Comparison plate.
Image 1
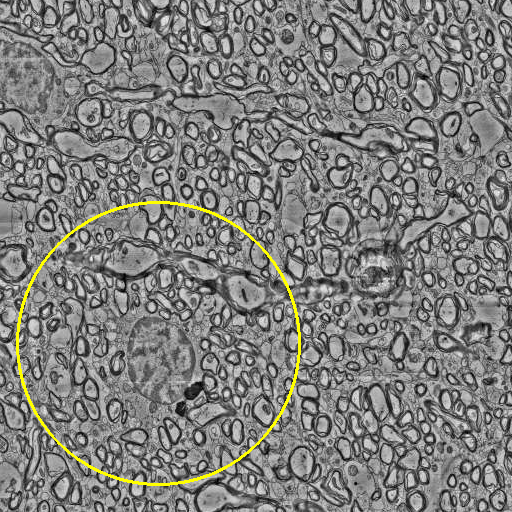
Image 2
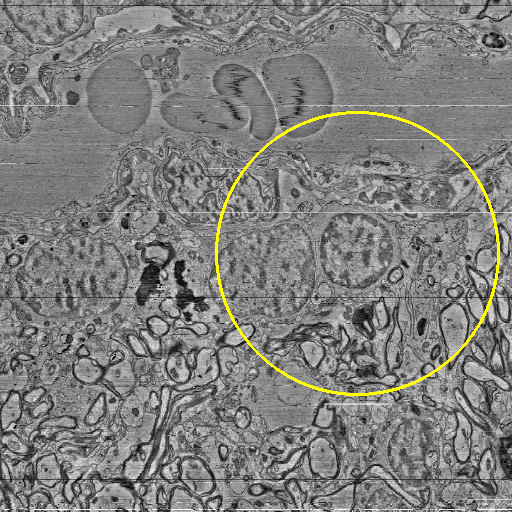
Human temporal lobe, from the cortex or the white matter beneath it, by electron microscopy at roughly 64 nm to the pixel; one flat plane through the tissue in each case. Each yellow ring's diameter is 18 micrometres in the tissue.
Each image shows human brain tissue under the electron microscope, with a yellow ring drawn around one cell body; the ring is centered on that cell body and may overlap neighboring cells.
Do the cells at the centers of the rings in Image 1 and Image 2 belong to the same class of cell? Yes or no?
yes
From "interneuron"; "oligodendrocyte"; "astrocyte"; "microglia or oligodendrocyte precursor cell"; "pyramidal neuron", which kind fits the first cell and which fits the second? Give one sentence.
Each one of the two ringed cells is an oligodendrocyte.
